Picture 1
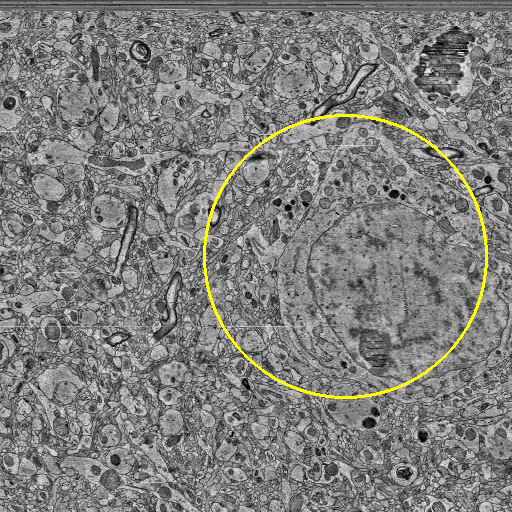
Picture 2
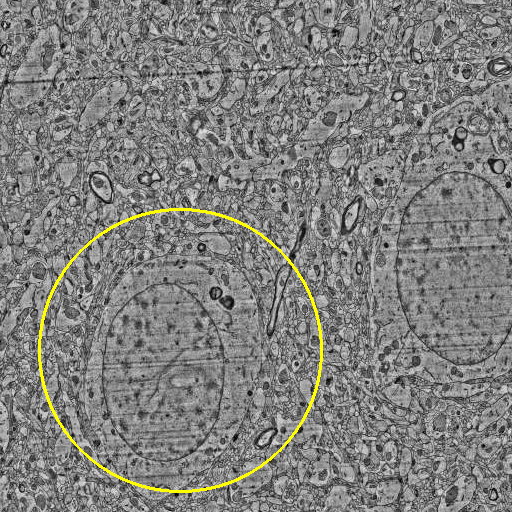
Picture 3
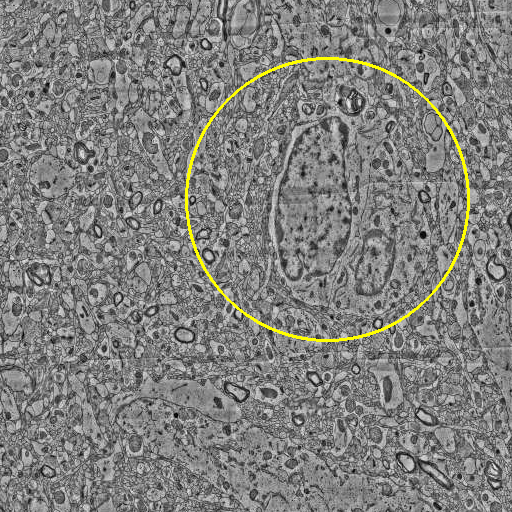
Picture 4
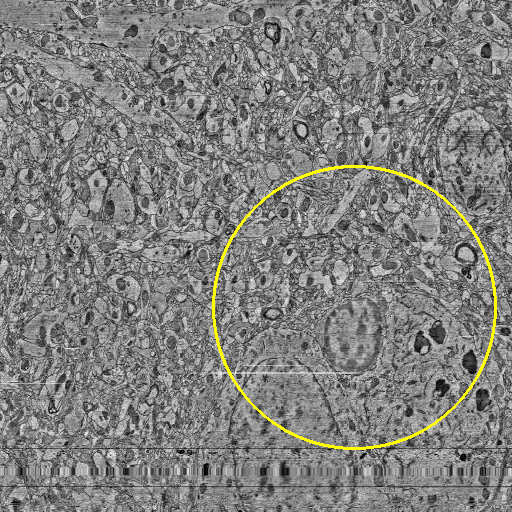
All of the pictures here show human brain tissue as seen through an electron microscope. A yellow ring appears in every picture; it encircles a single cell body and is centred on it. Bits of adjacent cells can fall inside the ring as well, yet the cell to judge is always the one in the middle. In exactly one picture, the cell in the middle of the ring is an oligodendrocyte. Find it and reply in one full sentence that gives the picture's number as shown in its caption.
Of all the pictures, picture 4 has the right cell at the centre of its ring.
